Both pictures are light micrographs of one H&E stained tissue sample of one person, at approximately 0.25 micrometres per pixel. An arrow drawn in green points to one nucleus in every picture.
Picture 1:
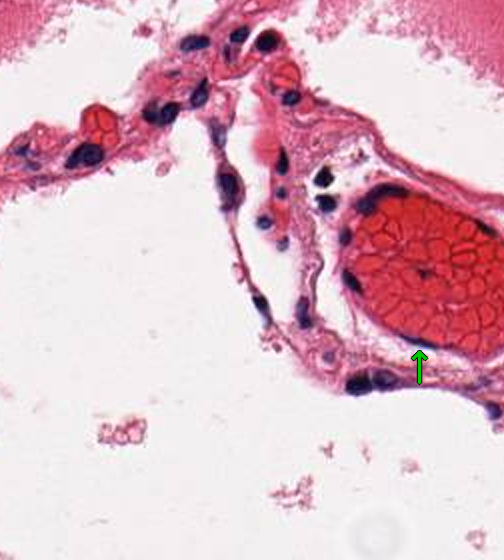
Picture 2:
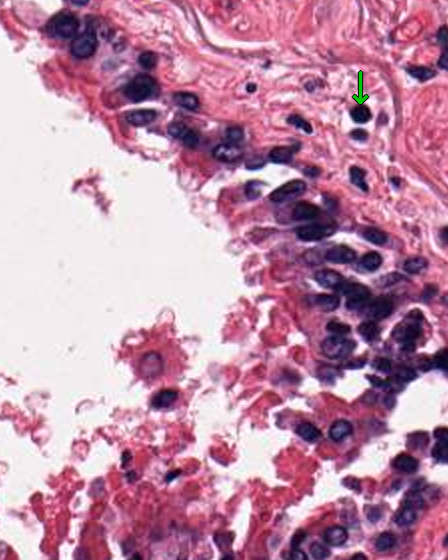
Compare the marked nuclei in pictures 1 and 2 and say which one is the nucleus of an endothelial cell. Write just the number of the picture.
1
